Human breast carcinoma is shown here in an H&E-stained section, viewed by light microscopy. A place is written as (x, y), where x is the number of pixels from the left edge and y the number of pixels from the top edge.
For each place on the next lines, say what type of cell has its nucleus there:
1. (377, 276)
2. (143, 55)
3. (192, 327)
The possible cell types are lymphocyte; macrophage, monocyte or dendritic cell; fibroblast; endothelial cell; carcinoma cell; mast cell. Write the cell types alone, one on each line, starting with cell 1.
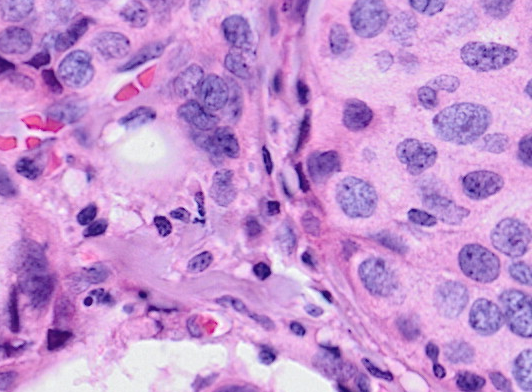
carcinoma cell
endothelial cell
endothelial cell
